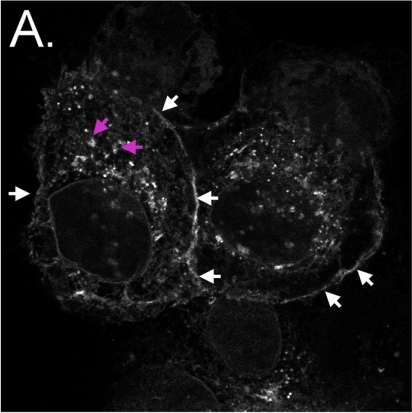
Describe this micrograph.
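Inside the cytoplasm many small bright dots, intracellular vesicles, are scattered around the nucleus. The nuclei appear as large dark oval areas with little signal, so the cells' shapes are traced mainly by the bright peripheral rims.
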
